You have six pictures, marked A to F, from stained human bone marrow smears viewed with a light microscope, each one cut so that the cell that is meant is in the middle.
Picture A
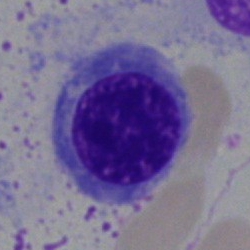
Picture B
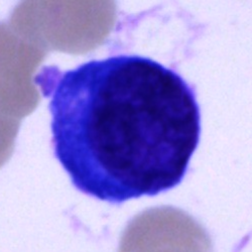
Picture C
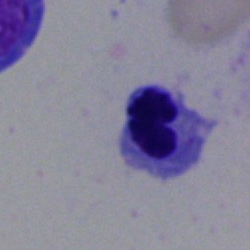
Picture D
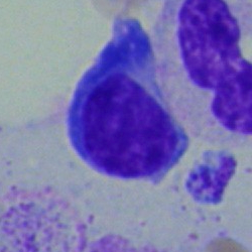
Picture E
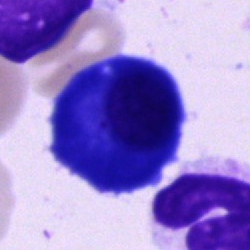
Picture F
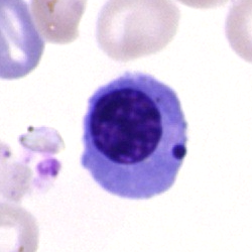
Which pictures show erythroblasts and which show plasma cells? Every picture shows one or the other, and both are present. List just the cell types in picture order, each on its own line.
erythroblast
plasma cell
erythroblast
plasma cell
plasma cell
erythroblast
